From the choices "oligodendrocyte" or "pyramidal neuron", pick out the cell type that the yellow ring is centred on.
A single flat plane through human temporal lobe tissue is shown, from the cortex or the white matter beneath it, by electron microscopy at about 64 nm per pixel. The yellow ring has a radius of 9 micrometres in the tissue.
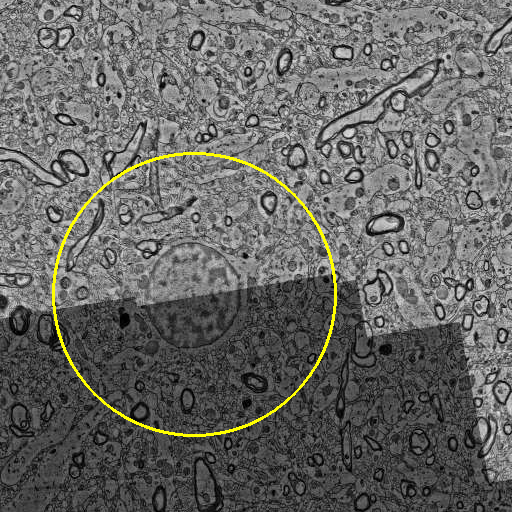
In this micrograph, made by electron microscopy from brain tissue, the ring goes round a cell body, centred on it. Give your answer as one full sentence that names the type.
The yellow ring is centred on an oligodendrocyte, whose cell body it encircles in the picture.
